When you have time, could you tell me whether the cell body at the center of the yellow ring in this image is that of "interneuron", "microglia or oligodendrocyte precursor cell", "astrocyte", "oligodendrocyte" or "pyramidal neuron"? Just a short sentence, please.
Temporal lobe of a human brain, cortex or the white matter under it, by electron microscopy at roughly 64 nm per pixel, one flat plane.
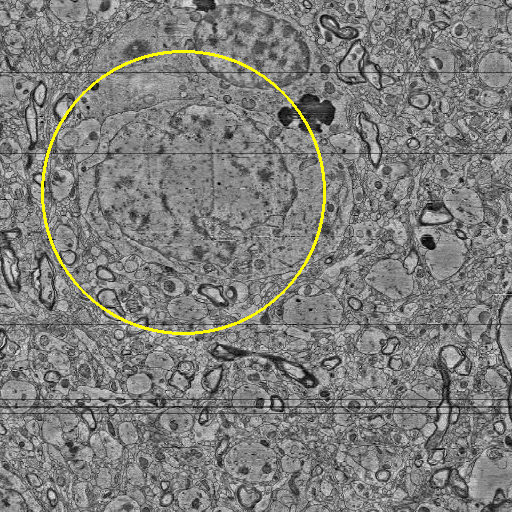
The cell body at the center of the ring is that of an interneuron.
